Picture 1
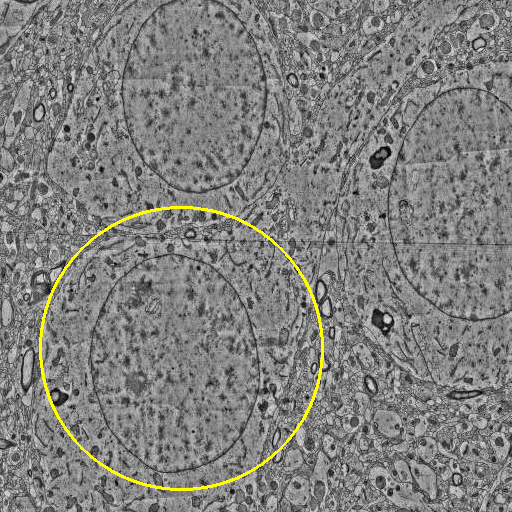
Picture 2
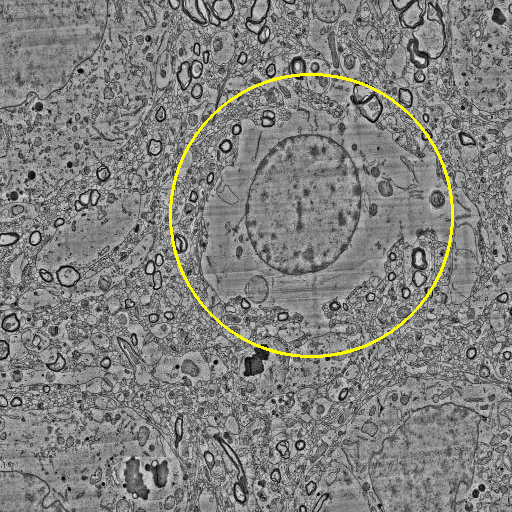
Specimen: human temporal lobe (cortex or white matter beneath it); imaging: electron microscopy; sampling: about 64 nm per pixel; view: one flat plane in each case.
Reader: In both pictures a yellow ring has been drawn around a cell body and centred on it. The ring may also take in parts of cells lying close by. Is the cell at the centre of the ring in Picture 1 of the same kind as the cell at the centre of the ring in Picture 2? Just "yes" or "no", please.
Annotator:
no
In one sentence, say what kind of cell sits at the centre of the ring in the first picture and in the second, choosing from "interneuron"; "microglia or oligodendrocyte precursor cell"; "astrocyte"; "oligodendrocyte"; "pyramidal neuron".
The first picture's ringed cell is a pyramidal neuron, while the second picture's is an astrocyte.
